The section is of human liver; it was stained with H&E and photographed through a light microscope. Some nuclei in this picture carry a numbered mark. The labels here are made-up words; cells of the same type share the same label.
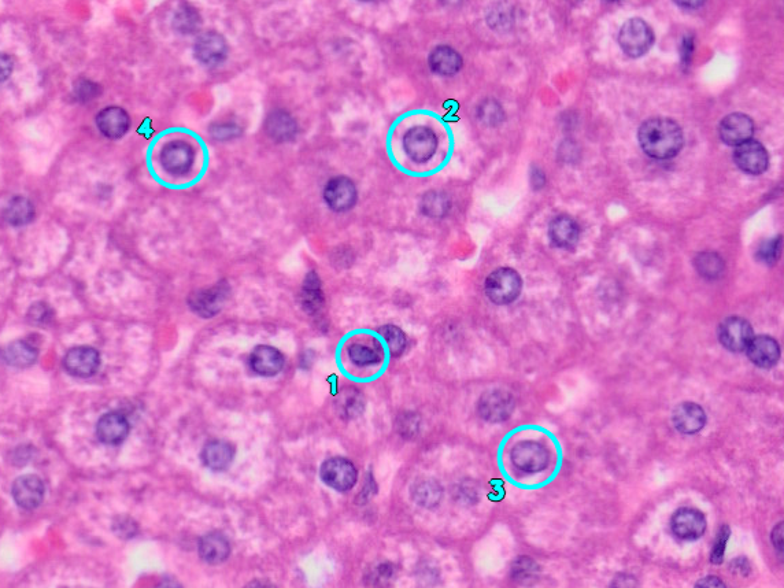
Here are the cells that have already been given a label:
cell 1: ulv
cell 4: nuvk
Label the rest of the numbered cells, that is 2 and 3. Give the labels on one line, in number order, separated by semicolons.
nuvk; nuvk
